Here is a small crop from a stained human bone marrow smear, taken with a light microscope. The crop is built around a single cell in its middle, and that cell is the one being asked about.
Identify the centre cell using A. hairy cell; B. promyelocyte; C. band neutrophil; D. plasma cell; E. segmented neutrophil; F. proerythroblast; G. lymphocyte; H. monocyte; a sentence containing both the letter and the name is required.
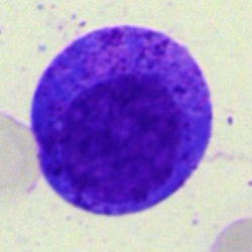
The expected answer is option B, the central cell being a promyelocyte.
